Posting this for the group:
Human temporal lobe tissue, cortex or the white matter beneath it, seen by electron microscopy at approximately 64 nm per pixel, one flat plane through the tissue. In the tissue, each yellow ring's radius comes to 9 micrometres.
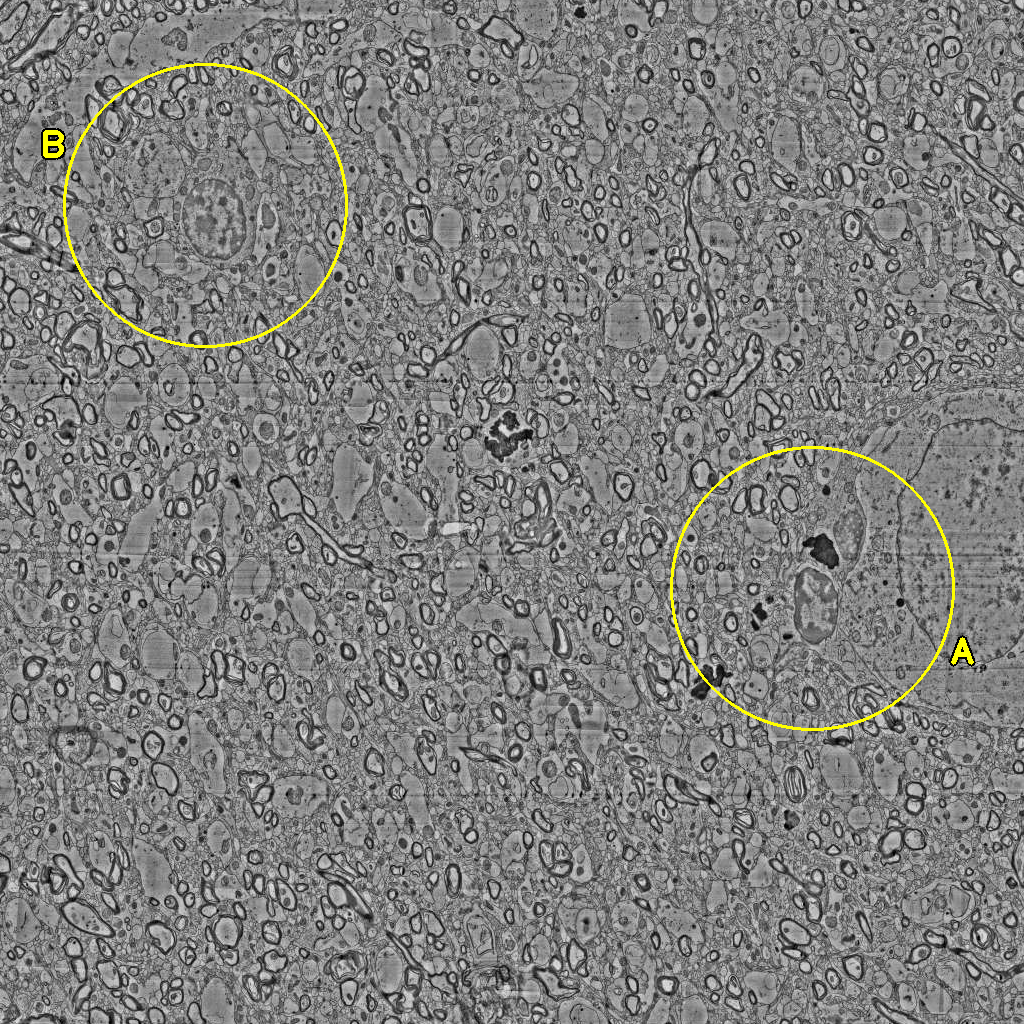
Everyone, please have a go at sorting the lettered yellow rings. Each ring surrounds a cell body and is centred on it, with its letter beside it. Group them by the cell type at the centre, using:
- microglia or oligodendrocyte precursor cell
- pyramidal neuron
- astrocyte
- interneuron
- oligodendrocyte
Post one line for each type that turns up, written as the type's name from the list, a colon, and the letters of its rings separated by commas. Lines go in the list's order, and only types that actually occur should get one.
microglia or oligodendrocyte precursor cell: A
oligodendrocyte: B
